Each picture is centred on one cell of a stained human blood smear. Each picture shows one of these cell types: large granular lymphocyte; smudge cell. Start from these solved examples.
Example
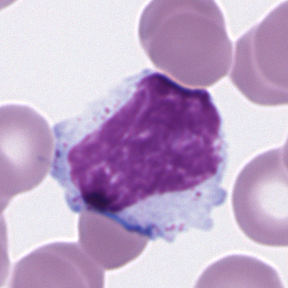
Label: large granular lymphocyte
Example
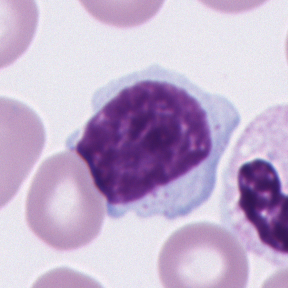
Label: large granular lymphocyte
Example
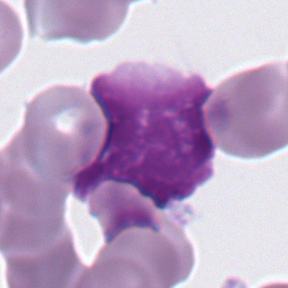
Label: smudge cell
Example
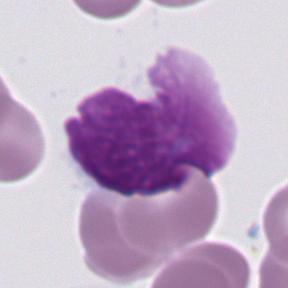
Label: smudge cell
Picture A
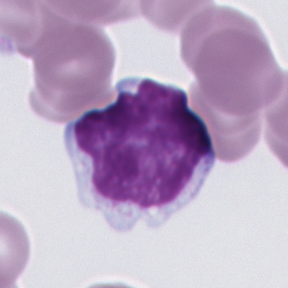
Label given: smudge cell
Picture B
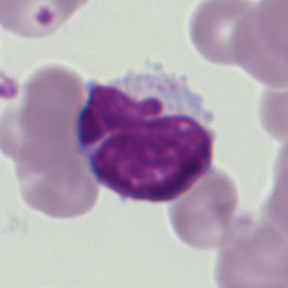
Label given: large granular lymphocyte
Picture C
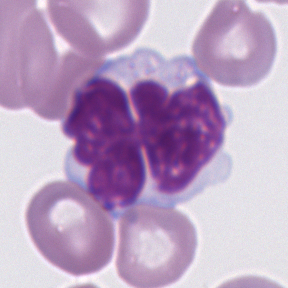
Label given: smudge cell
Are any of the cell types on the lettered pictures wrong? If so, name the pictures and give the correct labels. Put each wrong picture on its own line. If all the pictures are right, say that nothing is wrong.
A: change smudge cell to large granular lymphocyte
C: change smudge cell to large granular lymphocyte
